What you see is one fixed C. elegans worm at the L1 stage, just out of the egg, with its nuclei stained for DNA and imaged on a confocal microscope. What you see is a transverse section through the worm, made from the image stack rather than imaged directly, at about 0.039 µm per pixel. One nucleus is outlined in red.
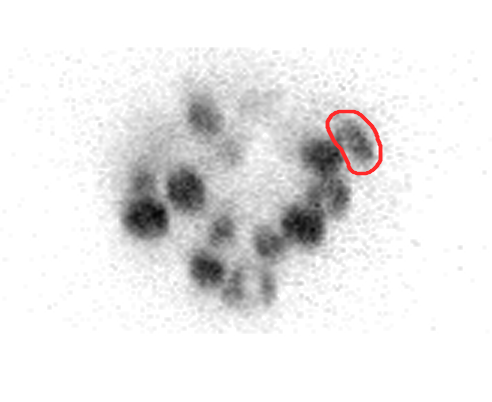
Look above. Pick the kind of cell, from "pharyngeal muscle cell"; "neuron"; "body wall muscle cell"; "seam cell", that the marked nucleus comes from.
body wall muscle cell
